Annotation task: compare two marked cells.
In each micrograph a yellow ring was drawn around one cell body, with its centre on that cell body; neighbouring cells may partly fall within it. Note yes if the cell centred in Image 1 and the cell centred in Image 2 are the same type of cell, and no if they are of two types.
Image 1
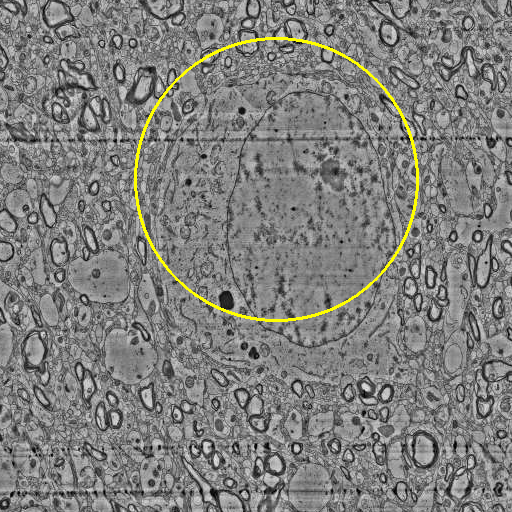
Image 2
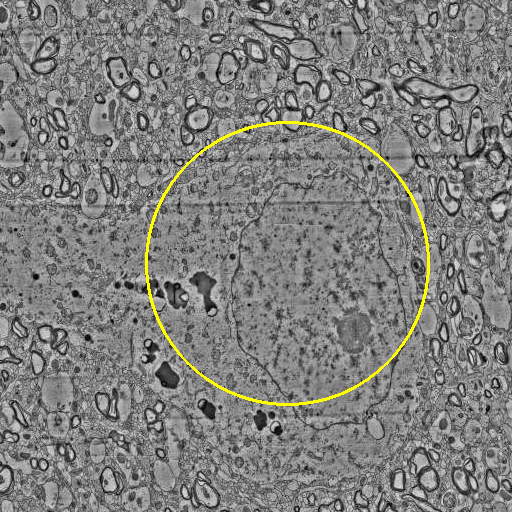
yes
